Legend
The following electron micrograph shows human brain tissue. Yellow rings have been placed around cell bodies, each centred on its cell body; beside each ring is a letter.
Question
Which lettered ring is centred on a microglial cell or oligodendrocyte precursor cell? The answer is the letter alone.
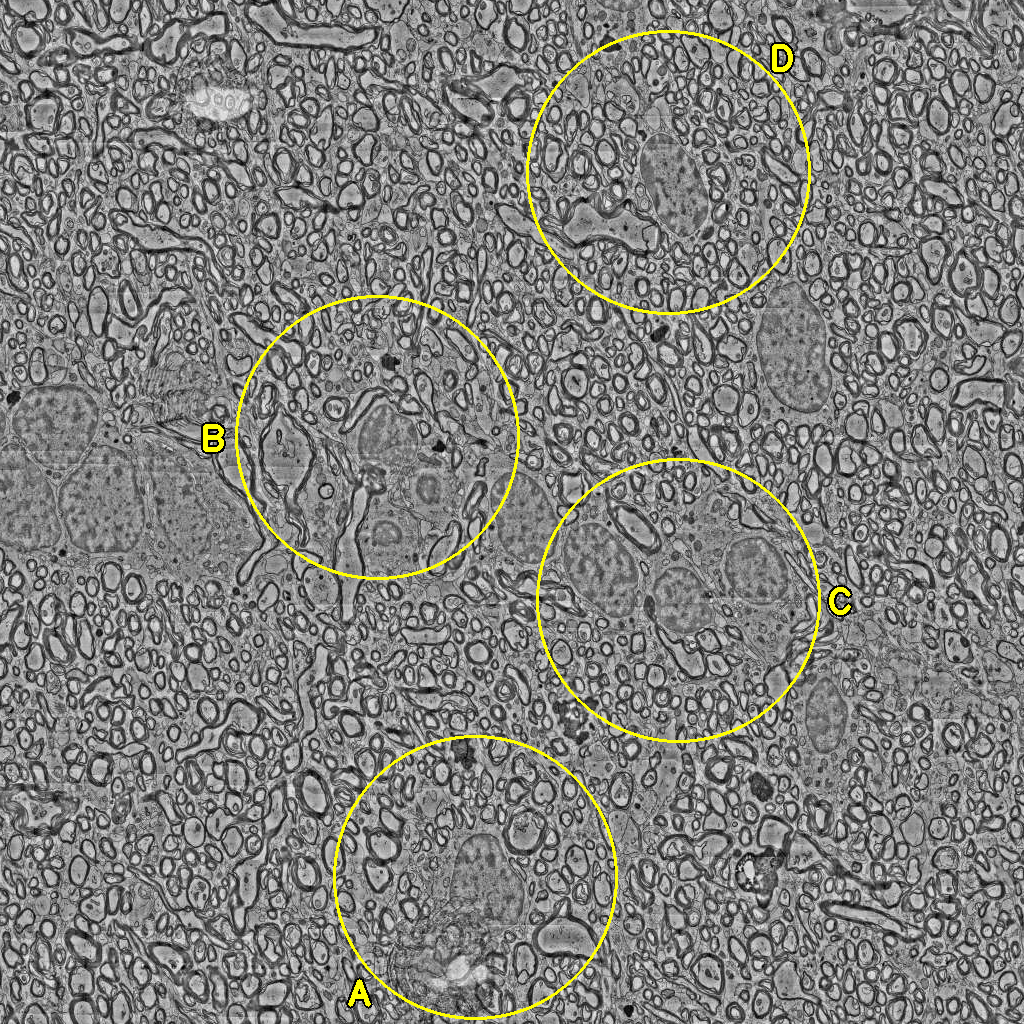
D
